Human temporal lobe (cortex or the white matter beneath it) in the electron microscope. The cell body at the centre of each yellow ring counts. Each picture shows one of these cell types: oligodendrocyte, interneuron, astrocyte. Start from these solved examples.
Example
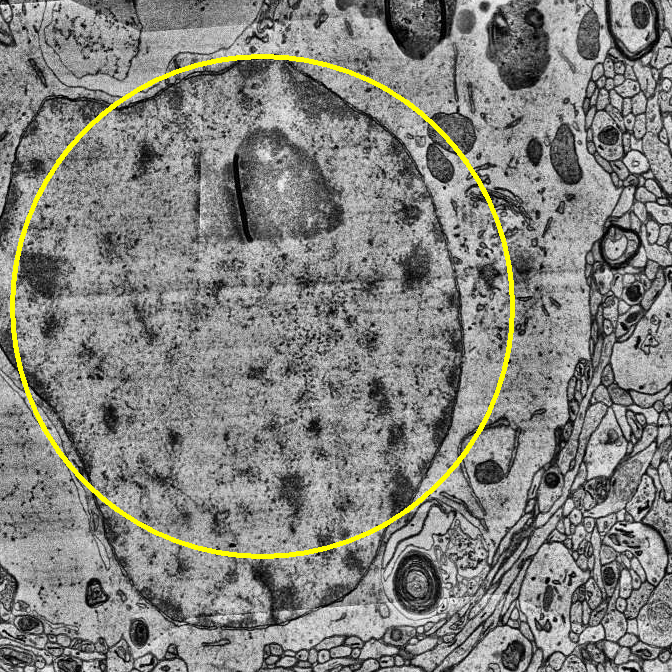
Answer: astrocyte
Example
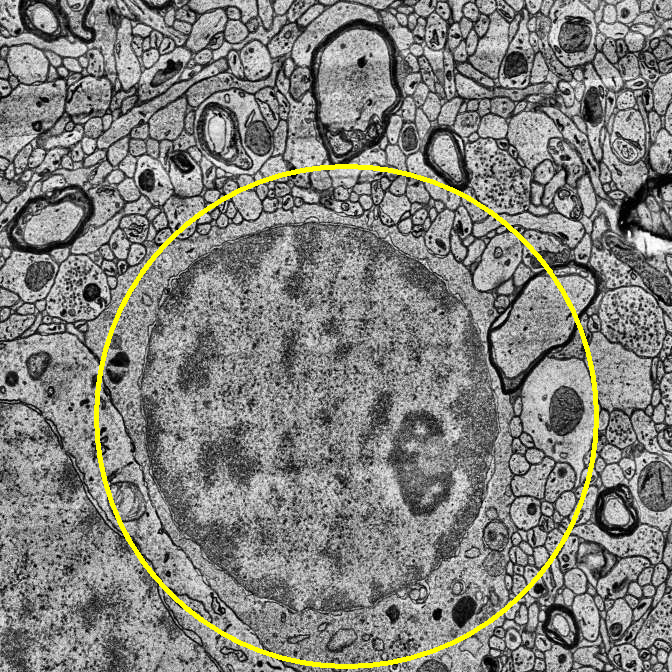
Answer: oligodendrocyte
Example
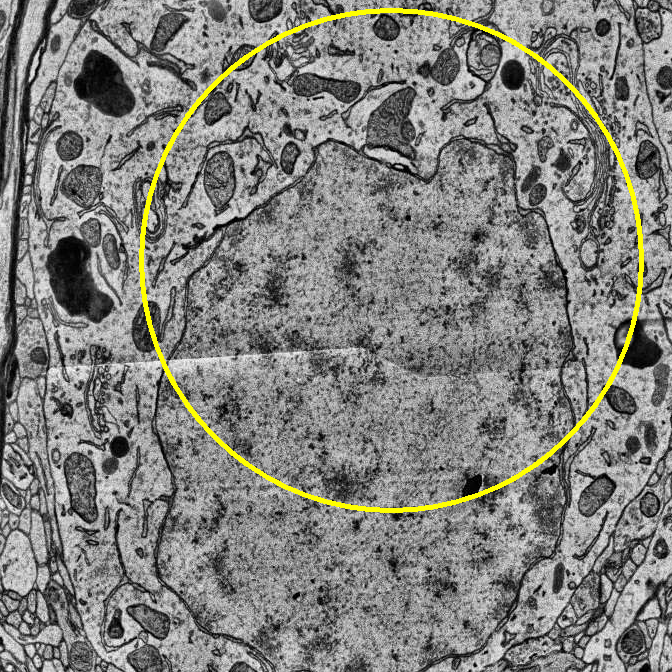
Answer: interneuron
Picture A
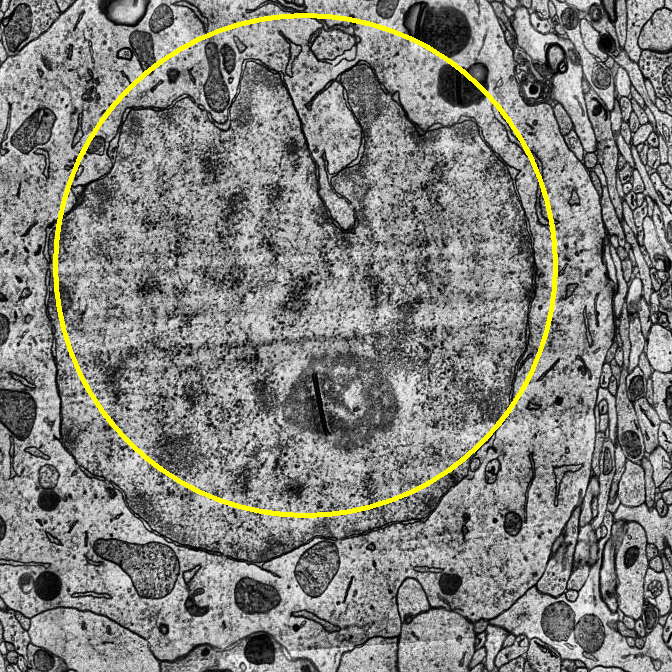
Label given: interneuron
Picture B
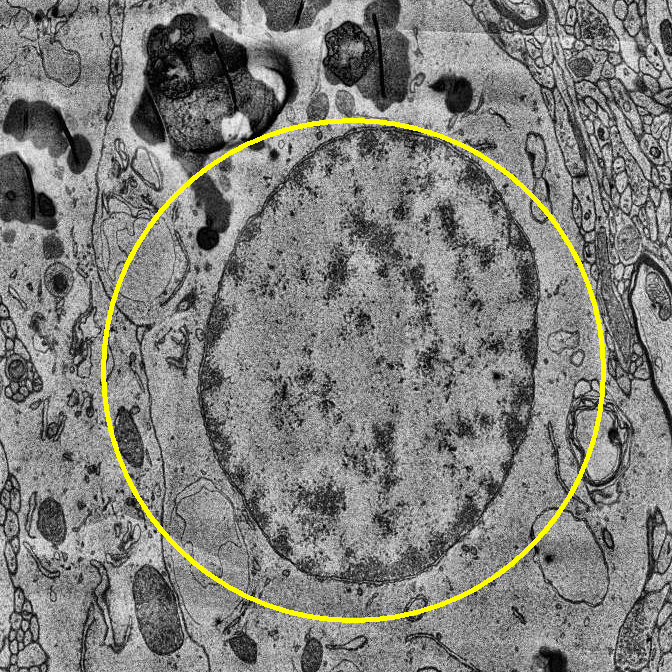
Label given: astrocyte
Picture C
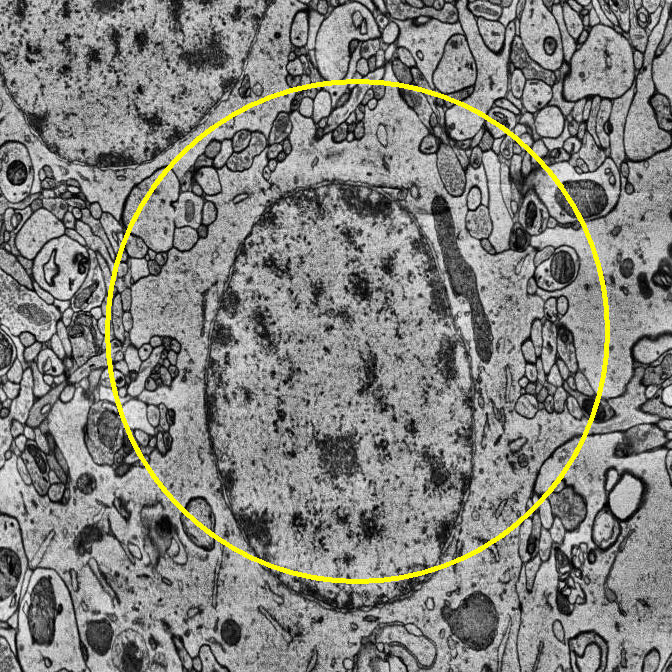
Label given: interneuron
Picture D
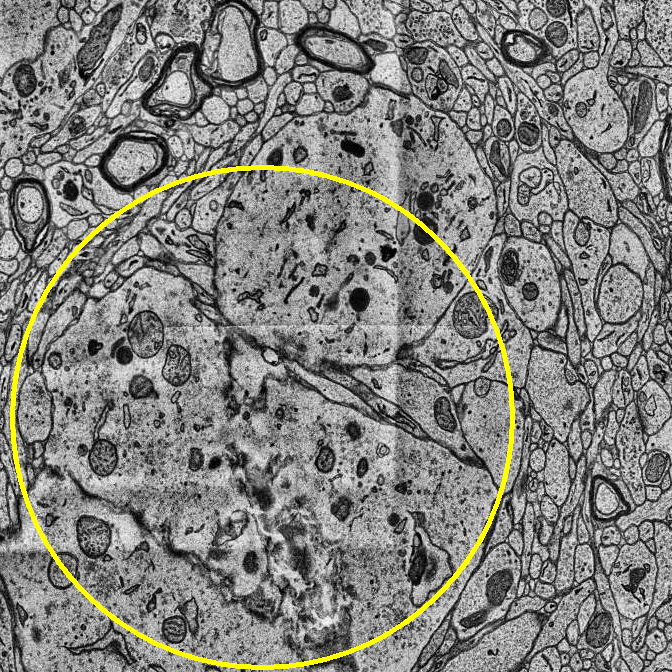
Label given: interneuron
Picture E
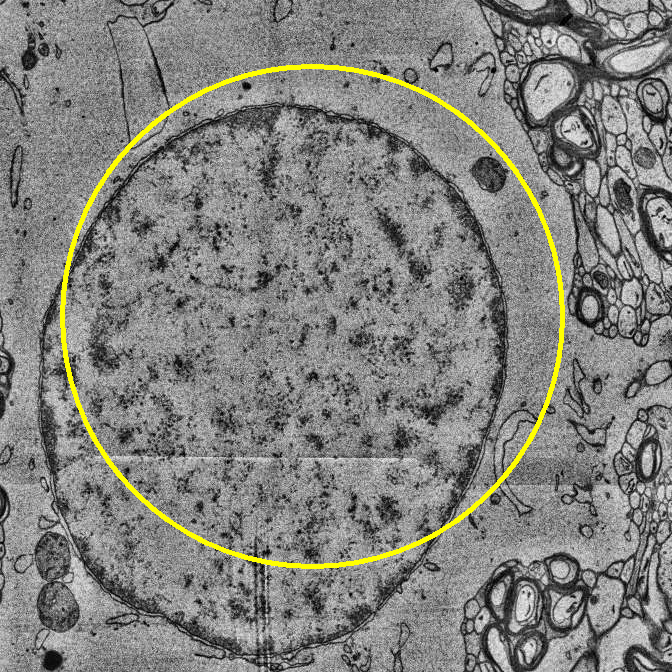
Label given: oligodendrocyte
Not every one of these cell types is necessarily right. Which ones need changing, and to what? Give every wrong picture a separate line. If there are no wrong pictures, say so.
C is labelled interneuron; correct label: astrocyte
E is labelled oligodendrocyte; correct label: astrocyte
